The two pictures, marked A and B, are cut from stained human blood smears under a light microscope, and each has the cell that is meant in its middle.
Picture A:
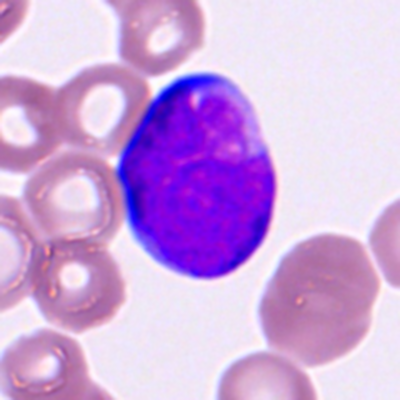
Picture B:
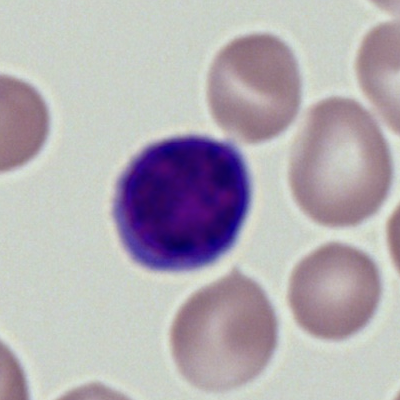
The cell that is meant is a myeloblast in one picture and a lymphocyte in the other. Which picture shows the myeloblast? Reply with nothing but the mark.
A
